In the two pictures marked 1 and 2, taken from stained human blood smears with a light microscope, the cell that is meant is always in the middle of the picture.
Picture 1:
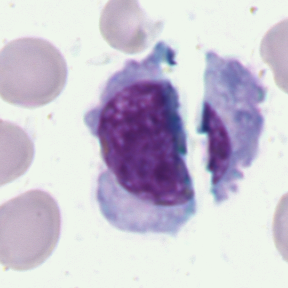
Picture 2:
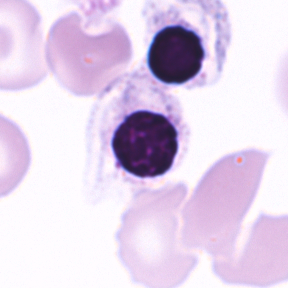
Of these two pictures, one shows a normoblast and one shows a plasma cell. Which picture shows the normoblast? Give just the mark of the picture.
2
